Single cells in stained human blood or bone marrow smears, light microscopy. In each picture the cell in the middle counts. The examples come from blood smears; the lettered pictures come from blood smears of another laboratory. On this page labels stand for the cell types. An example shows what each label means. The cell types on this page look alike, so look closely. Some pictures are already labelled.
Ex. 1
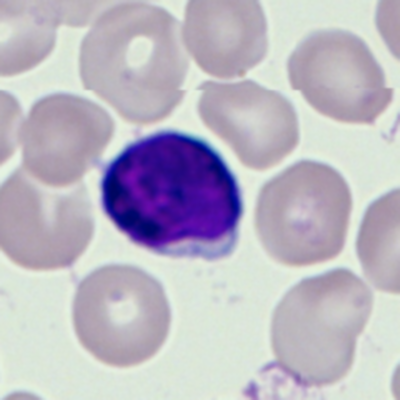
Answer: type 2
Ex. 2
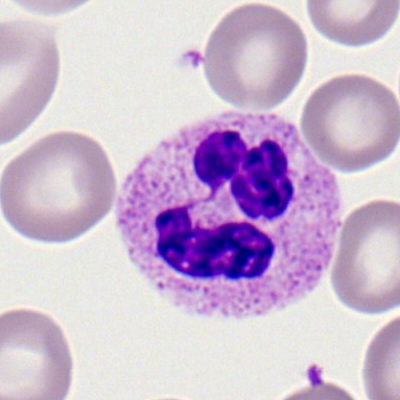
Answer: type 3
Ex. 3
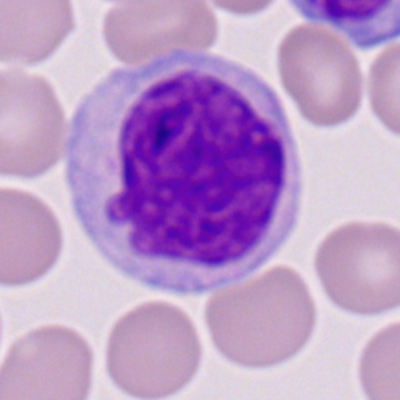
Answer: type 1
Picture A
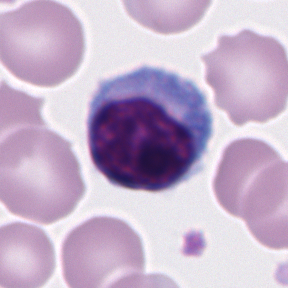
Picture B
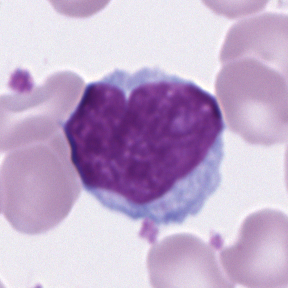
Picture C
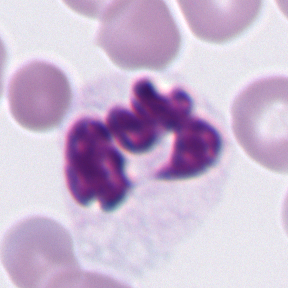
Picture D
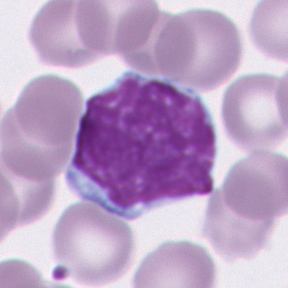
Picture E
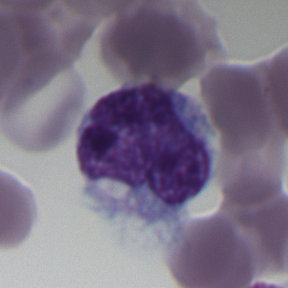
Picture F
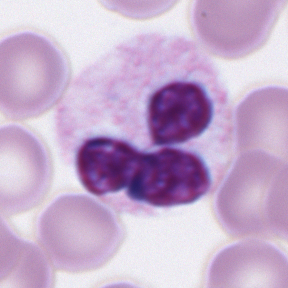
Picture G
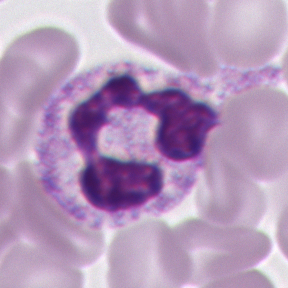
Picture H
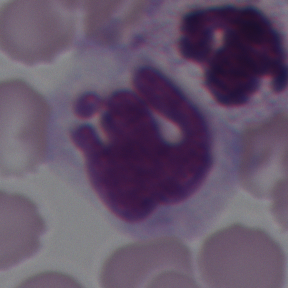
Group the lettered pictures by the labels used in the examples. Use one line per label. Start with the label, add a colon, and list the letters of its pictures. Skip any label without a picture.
type 2: A, B, D
type 3: C, F, G
type 1: E, H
